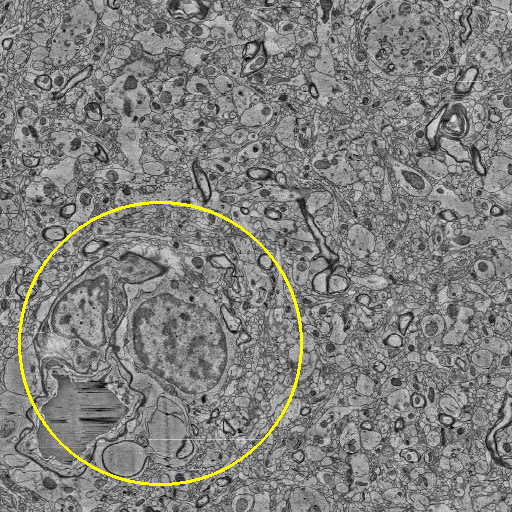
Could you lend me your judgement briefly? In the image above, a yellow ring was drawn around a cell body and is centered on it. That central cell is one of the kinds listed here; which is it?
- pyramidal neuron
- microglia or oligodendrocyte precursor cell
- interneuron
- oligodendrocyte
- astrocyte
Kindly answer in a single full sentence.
Going by the list, an oligodendrocyte is the kind at the ring's center in the picture.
